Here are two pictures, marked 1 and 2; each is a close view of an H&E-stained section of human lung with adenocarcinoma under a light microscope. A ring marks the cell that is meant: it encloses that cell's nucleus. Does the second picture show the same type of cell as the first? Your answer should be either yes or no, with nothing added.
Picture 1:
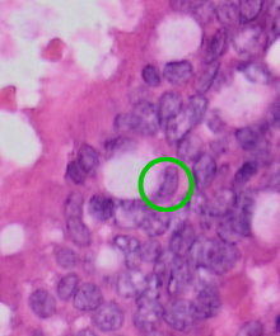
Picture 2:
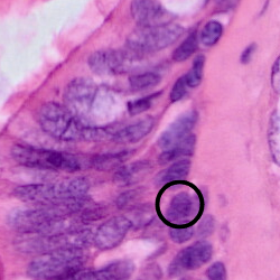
yes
